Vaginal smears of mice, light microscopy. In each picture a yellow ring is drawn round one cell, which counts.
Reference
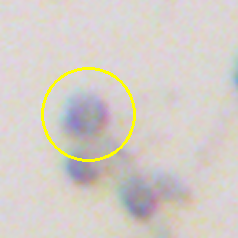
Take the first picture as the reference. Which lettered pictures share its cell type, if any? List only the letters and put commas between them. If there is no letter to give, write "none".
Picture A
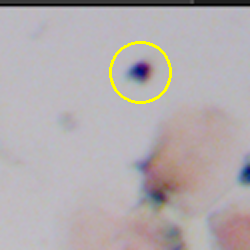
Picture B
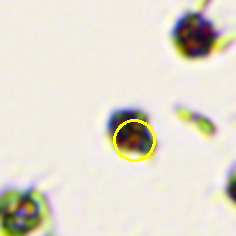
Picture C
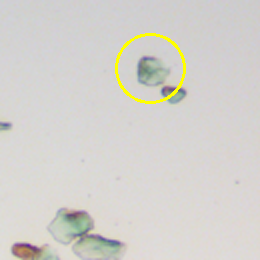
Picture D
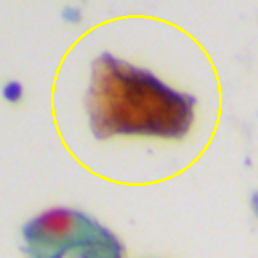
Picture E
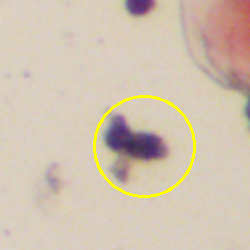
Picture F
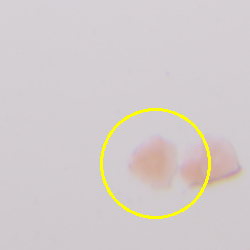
A, B, E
